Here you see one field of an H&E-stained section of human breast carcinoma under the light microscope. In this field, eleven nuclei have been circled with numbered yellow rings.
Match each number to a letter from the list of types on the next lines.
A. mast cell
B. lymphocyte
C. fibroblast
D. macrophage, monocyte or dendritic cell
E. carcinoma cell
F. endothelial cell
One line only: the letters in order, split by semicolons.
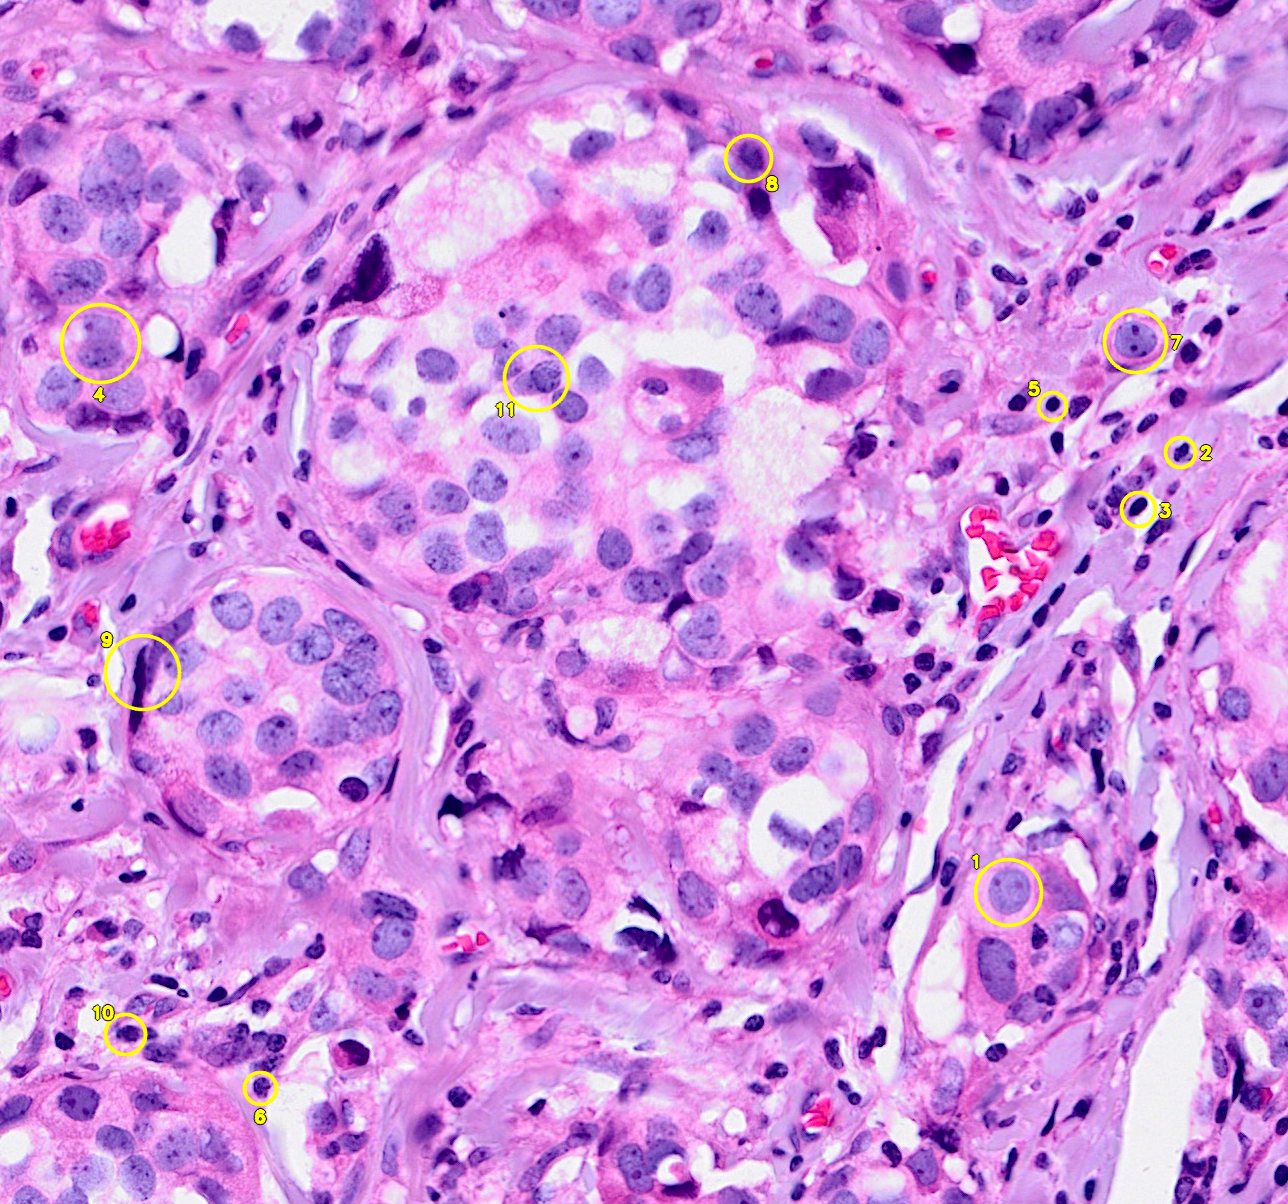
E; B; B; E; B; B; E; E; E; B; E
